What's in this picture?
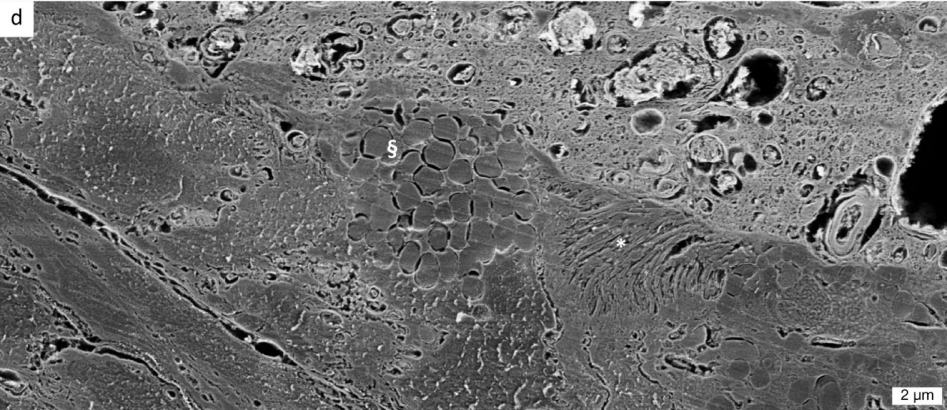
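A close view of the airway lining beneath a dense mucus layer, showing a goblet cell and cilia. In the middle a cell holds a tightly packed cluster of rounded, smooth granules of similar size, separated by thin clefts. To its right a bundle of fine, parallel, elongated filaments, the kinocilia, runs obliquely and lies buried under the overlying material. Above, the mucus forms a compact mass with scattered small holes, rounded inclusions and bright particles. Toward the lower left the lining shows elongated layered profiles with narrow dark clefts between them.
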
